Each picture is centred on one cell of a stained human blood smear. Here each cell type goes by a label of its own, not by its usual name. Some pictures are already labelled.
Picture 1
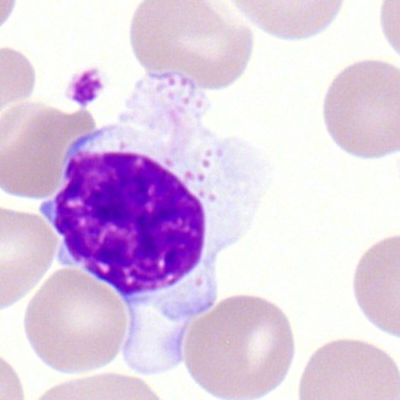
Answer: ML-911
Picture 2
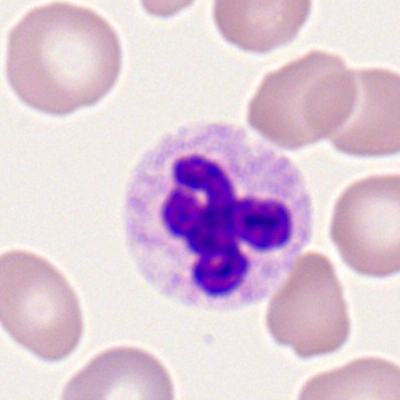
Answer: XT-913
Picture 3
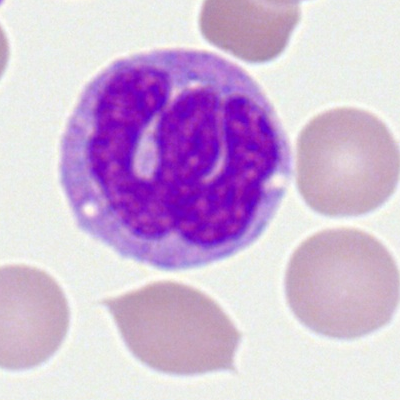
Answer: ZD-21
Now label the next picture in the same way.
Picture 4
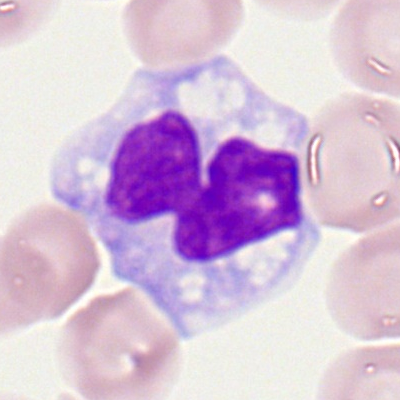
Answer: ZD-21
